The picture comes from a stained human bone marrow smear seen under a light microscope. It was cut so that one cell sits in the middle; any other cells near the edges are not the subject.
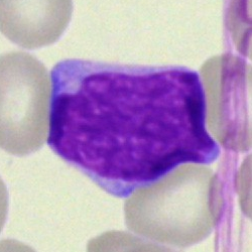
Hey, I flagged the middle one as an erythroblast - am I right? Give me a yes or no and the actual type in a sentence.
No, what lies at the heart of the crop is a blast, not an erythroblast.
